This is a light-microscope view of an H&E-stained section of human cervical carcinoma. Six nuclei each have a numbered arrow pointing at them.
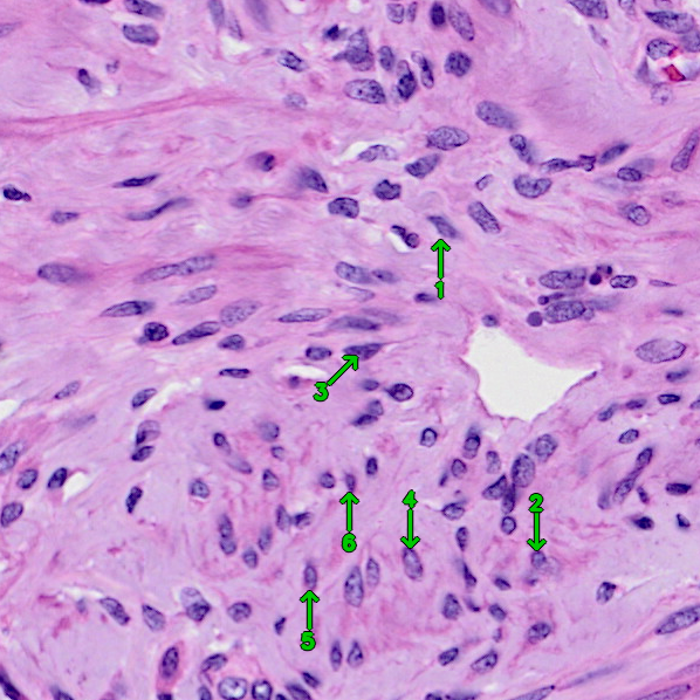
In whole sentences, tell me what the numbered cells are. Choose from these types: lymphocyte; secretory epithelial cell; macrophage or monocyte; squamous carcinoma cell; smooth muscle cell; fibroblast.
Cell 1 is a fibroblast, cell 2 is a smooth muscle cell, cell 3 is a fibroblast, cell 4 is a smooth muscle cell, cell 5 is a smooth muscle cell and cell 6 is a smooth muscle cell.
